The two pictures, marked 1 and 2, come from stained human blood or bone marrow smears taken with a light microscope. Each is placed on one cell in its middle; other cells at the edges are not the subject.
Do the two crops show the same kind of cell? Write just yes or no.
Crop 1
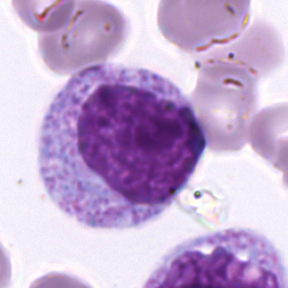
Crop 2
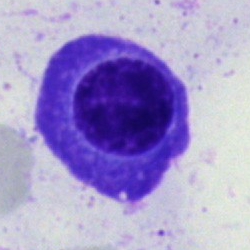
no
